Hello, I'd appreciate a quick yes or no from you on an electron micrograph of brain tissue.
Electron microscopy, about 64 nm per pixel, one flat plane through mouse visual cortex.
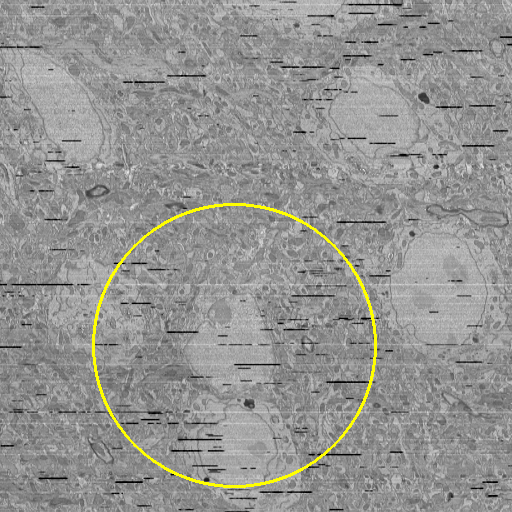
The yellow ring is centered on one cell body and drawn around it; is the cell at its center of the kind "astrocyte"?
yes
